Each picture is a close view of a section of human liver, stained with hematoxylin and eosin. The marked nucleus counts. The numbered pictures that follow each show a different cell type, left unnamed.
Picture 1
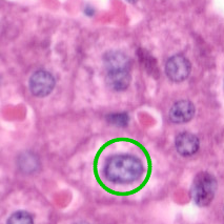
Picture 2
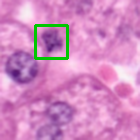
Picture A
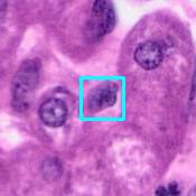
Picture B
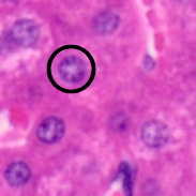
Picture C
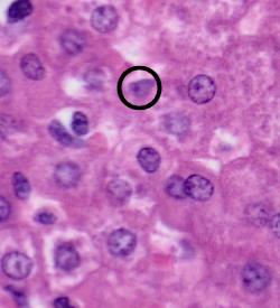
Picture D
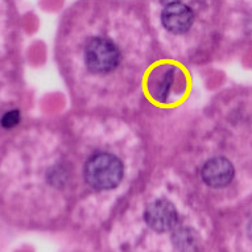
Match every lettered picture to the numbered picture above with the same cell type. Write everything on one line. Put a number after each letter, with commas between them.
A 2, B 1, C 2, D 2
